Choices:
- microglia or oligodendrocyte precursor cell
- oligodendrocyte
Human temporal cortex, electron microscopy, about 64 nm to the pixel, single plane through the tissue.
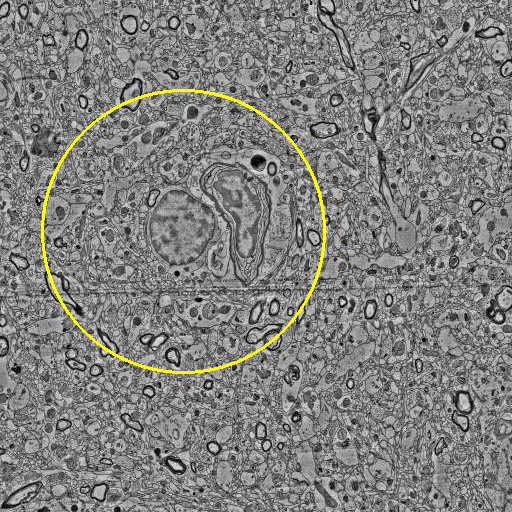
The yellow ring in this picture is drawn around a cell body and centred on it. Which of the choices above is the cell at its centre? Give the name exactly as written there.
oligodendrocyte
